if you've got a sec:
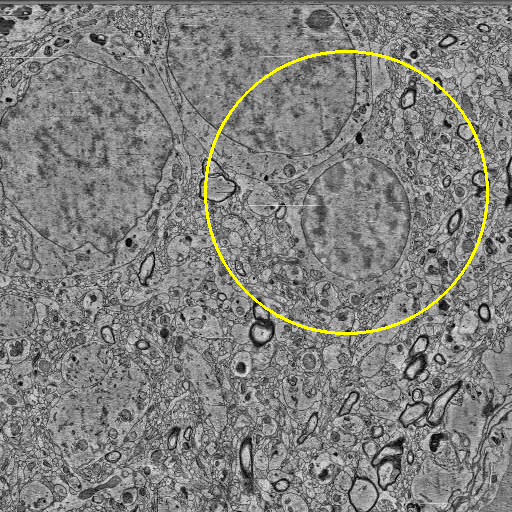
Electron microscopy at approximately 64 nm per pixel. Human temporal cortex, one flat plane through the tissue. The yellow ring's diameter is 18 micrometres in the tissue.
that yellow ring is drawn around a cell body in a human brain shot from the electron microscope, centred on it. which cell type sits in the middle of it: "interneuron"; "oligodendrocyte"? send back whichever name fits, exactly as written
oligodendrocyte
